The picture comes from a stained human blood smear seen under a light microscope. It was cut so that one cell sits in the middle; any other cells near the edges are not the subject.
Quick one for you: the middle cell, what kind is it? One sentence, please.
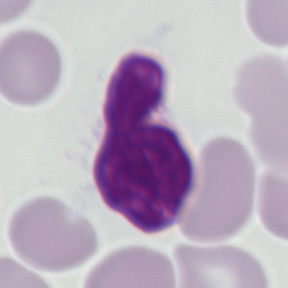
The cell of interest, in the center, is a smudge cell.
